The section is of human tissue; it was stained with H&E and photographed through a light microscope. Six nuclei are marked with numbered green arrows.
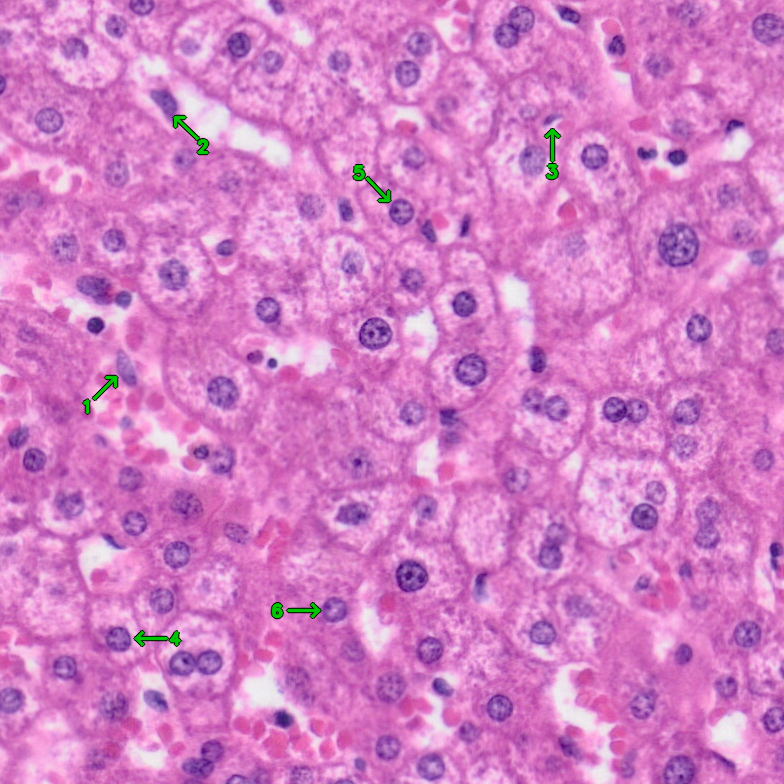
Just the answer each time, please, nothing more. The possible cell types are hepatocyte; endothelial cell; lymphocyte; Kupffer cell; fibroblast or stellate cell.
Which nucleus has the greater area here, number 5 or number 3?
5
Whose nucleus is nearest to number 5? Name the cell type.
endothelial cell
